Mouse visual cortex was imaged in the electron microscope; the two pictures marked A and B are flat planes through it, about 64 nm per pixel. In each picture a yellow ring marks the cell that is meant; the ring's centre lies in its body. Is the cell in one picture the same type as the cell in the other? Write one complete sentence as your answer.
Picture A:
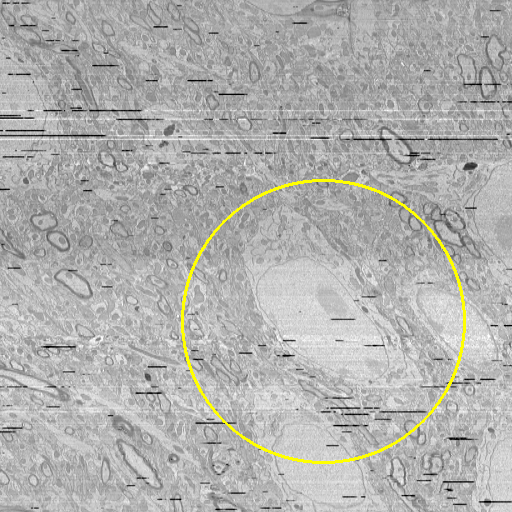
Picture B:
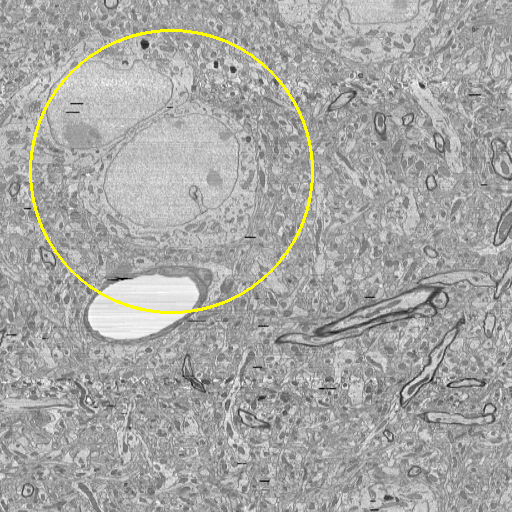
Yes, both are excitatory neurons.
